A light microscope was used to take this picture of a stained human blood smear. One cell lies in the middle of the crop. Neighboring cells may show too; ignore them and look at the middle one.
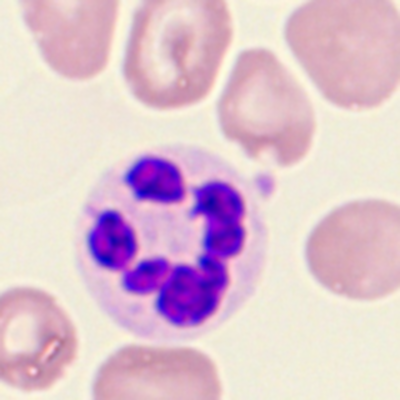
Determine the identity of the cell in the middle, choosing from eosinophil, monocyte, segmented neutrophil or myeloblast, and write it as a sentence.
In the central position of this crop, the cell is a segmented neutrophil.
